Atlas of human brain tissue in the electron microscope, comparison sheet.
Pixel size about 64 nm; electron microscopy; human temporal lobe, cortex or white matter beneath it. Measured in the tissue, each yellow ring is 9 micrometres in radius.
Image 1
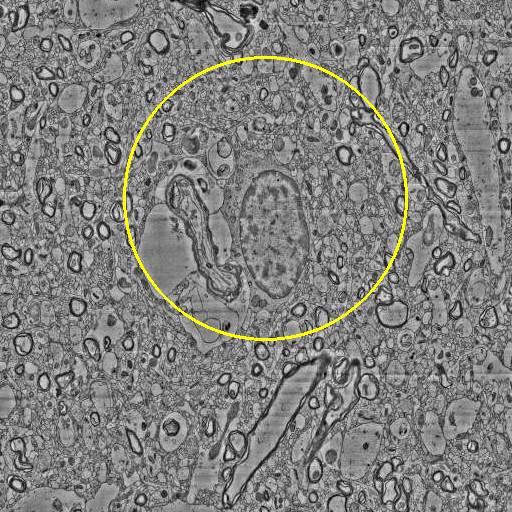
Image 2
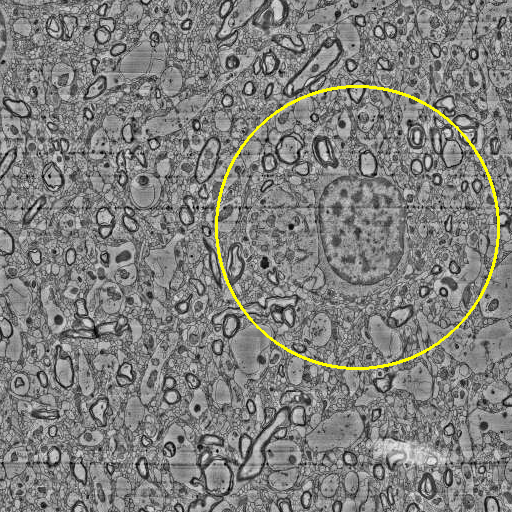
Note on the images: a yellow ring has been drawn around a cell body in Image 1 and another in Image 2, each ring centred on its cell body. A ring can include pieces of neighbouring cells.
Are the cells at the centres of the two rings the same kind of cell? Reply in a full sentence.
Yes, both cells are of the same kind.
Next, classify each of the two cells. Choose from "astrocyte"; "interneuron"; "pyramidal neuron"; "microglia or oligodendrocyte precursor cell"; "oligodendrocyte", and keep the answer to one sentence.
In each picture the ringed cell is an oligodendrocyte.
